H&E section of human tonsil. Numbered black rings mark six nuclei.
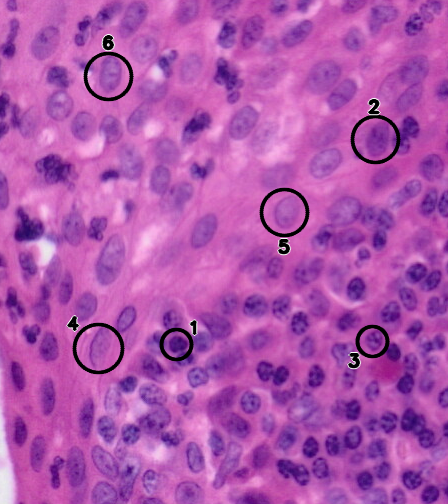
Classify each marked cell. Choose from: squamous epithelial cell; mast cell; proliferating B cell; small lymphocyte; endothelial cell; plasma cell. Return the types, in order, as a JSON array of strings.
["plasma cell", "squamous epithelial cell", "plasma cell", "squamous epithelial cell", "squamous epithelial cell", "squamous epithelial cell"]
